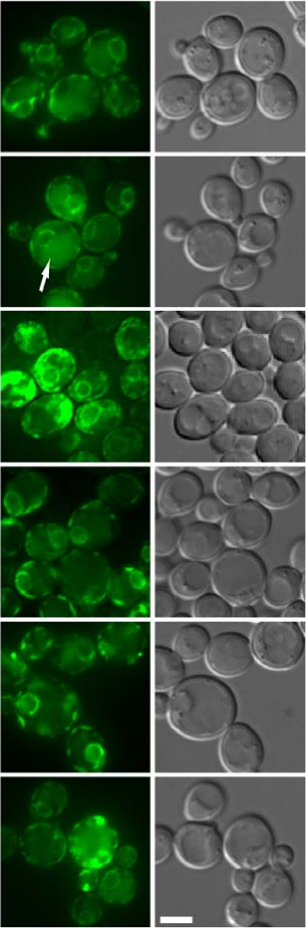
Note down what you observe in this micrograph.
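Budding yeast cells are round to oval, seen in paired green fluorescence and differential interference contrast images. In many cells the green signal forms a bright ring around the nucleus and thinner lines along the cell edge, tracing the nuclear envelope and endoplasmic reticulum. Some cells also show diffuse green filling a large round vacuole.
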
